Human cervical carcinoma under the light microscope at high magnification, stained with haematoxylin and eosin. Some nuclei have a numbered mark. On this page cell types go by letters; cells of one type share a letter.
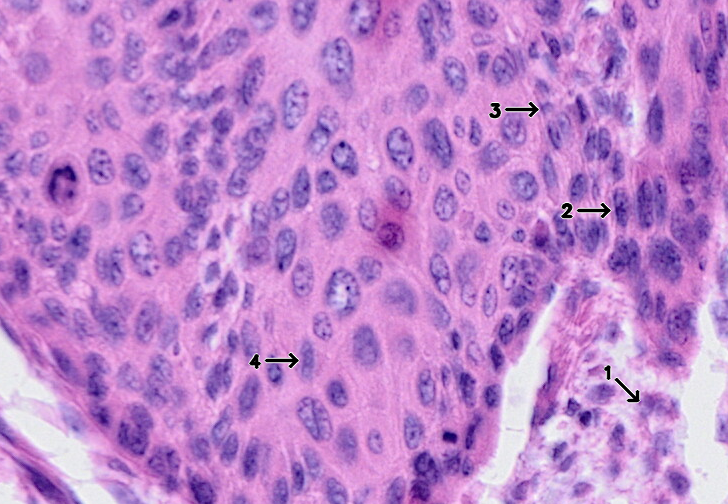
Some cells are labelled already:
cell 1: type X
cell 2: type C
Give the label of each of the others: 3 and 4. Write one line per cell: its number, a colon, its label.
3: type C
4: type C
